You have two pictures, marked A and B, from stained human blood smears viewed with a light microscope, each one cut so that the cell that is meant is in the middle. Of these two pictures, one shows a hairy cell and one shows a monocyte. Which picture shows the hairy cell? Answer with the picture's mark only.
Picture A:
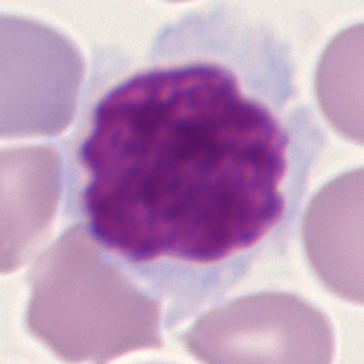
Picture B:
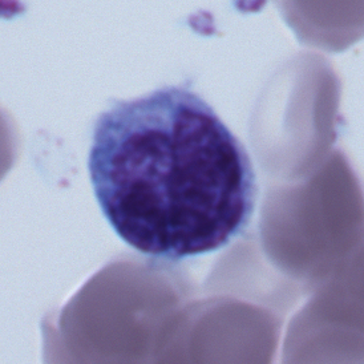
A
